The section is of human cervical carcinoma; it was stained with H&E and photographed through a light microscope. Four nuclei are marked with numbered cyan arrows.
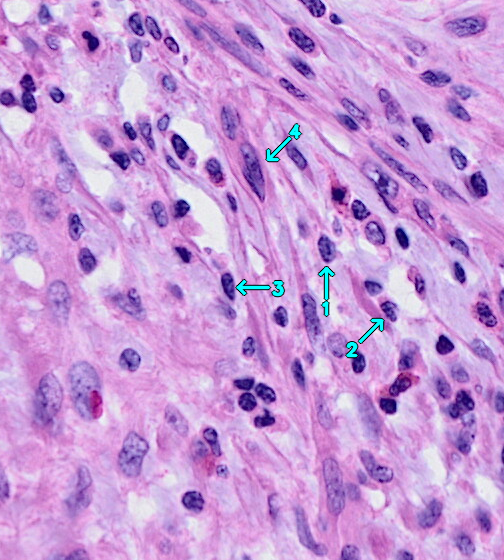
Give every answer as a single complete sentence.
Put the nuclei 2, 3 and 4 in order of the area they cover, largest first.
Going from the biggest nucleus down to the smallest gives 4, 3, 2.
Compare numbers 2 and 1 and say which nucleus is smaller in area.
Nucleus 2 is the smaller one; nucleus 1 covers about 1.5 times its area.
